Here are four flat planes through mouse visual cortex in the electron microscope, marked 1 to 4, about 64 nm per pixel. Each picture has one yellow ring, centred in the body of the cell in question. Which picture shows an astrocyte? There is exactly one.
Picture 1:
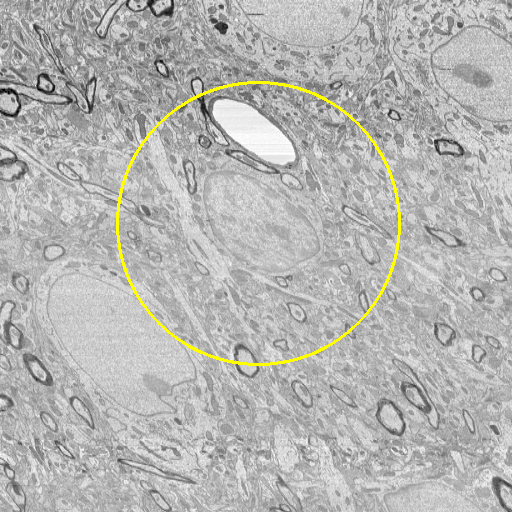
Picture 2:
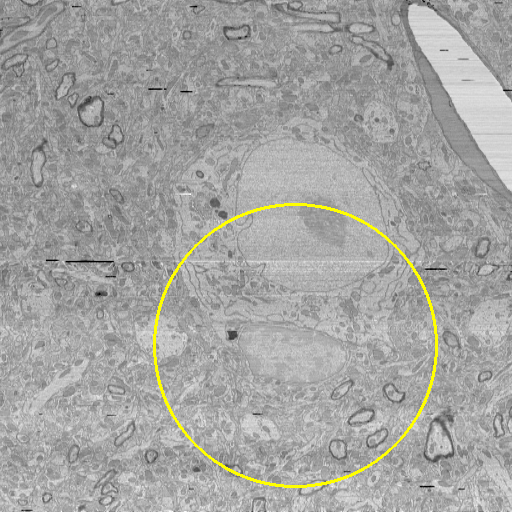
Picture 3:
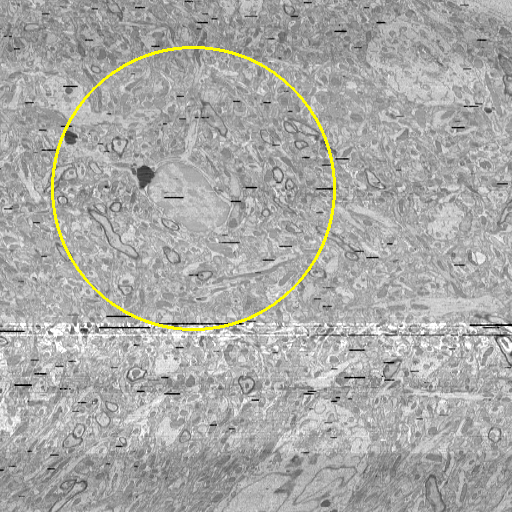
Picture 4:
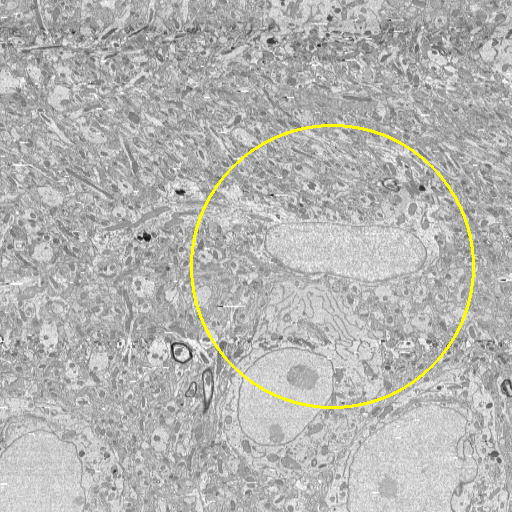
It is picture 4 that shows the astrocyte.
